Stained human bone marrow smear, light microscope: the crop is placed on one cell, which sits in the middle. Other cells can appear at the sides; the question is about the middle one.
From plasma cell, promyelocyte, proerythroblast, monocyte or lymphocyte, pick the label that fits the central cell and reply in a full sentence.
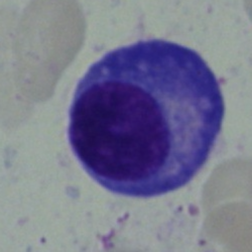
The central cell in this smear crop is a plasma cell.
